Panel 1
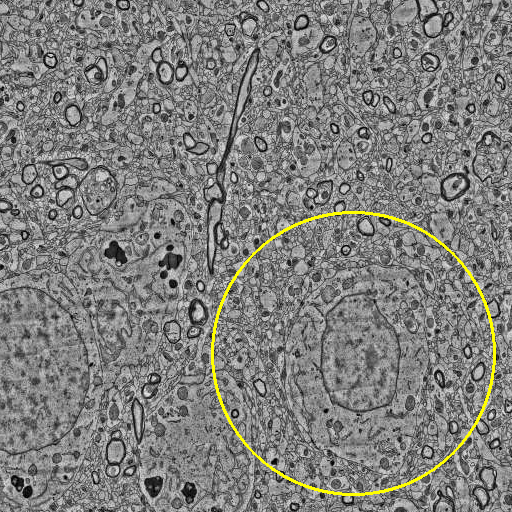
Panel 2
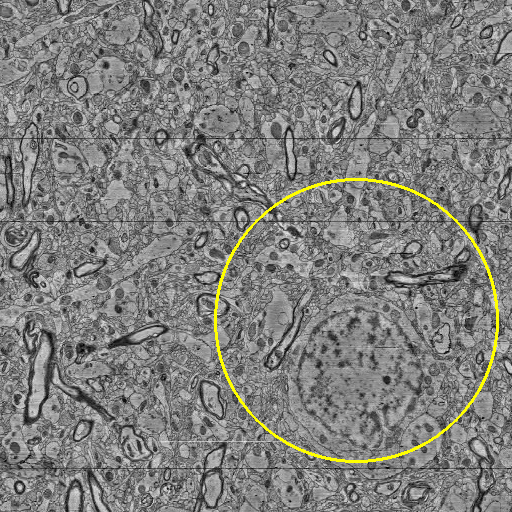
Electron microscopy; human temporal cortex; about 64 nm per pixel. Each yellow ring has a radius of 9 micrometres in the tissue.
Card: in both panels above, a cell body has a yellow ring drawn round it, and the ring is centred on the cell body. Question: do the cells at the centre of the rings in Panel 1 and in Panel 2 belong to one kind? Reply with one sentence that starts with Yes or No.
No, the cells centred in the rings of Panel 1 and Panel 2 are two kinds of cell.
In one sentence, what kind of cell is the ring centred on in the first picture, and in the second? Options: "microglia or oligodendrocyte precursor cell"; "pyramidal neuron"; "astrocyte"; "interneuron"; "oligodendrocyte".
The cell at the centre of the second ring is an interneuron; the first ring's cell is a pyramidal neuron.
